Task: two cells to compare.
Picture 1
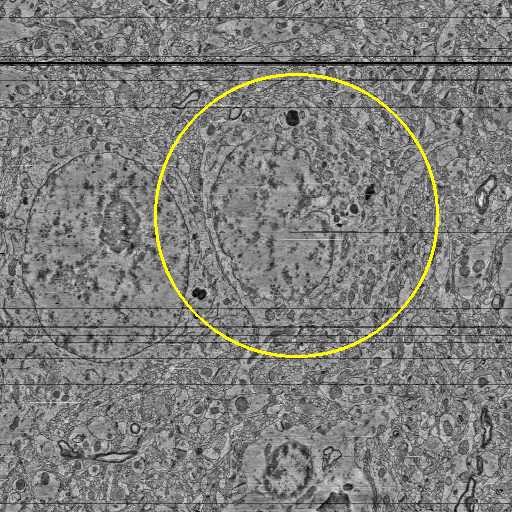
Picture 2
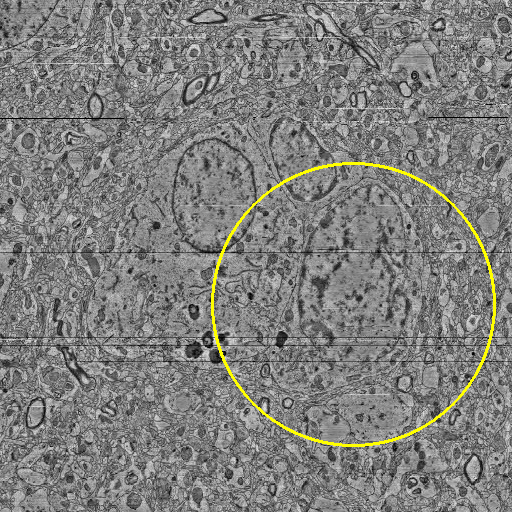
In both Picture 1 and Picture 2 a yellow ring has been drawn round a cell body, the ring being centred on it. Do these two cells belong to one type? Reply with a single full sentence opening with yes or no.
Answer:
Yes, the two cells at the ring centres in Picture 1 and Picture 2 share one type.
